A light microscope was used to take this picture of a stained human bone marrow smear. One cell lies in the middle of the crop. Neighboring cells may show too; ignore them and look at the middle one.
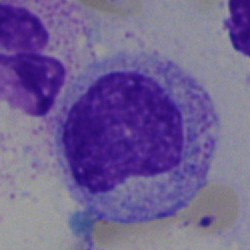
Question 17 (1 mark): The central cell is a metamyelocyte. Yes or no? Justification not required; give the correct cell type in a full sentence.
Yes, the cell in the middle of this smear crop is a metamyelocyte.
